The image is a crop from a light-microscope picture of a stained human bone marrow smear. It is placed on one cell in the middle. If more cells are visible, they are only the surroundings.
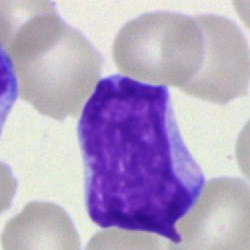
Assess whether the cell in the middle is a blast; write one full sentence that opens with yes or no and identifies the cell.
Yes, placed in the middle of the crop is a blast.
